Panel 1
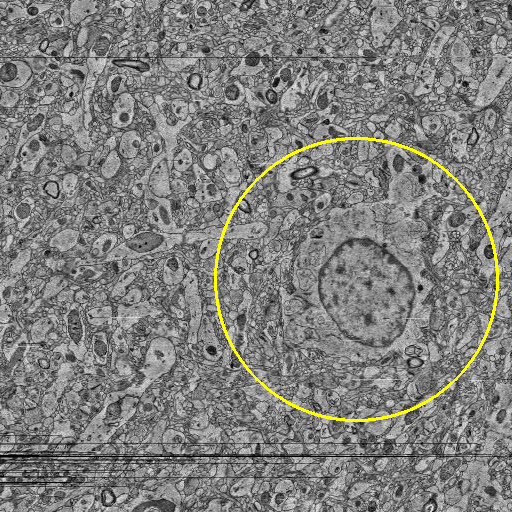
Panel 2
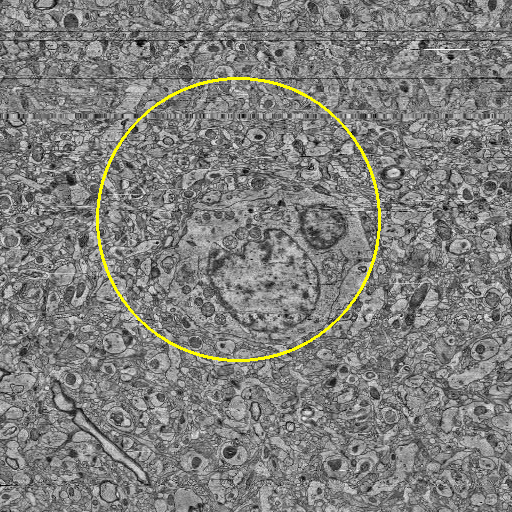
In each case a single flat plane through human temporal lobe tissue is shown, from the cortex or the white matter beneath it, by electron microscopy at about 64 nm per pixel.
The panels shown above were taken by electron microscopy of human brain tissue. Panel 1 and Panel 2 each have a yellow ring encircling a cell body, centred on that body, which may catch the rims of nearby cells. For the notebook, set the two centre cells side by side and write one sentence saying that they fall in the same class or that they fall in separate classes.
The centred cells of Panel 1 and Panel 2 fall in separate classes.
